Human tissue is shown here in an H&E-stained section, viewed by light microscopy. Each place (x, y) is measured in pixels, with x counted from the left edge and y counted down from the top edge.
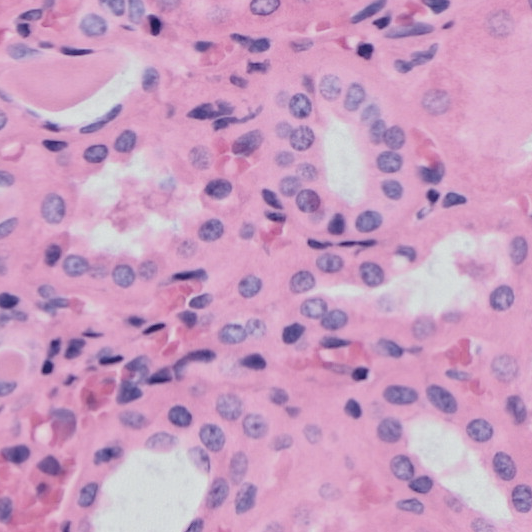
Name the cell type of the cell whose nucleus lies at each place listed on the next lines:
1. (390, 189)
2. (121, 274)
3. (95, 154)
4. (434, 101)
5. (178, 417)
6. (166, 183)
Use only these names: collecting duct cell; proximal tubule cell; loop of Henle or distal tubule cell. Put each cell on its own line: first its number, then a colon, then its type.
1: collecting duct cell
2: loop of Henle or distal tubule cell
3: loop of Henle or distal tubule cell
4: proximal tubule cell
5: loop of Henle or distal tubule cell
6: loop of Henle or distal tubule cell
